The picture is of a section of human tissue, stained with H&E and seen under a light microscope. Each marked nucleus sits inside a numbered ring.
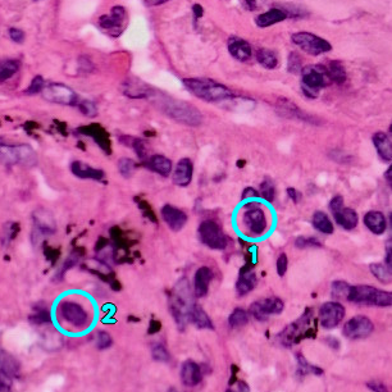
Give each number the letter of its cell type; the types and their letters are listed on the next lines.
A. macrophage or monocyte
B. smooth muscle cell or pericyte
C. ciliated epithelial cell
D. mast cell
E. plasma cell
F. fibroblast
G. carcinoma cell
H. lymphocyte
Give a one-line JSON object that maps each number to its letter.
{"1": "H", "2": "E"}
